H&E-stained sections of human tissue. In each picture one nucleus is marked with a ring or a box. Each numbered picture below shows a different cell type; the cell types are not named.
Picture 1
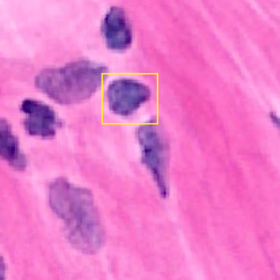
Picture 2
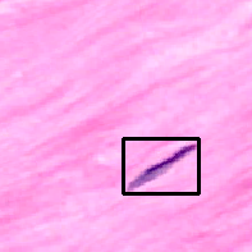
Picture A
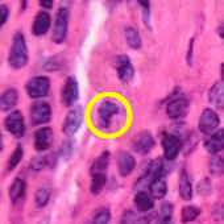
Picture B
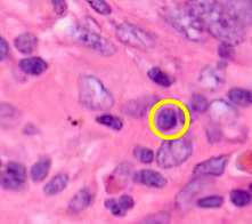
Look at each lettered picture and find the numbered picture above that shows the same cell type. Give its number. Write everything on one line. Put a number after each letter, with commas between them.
A 1, B 1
